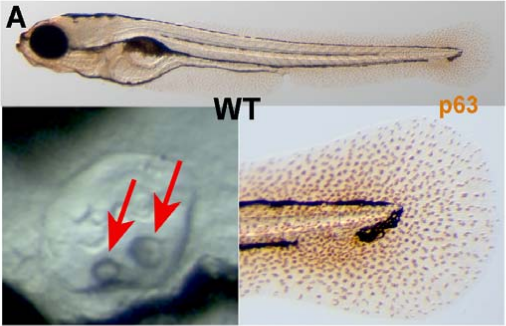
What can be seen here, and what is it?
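Whole larva in lateral view with a magnified tail tip and an inset of the otic vesicle. In the tail fin fold, brown-stained nuclei of basal keratinocytes are distributed as an even, regularly spaced sheet reaching the fin margin. The otic vesicle is a clear oval chamber holding two round, dense otoliths marked by red arrows. Dark pigment cells line the notochord region of the tail.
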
